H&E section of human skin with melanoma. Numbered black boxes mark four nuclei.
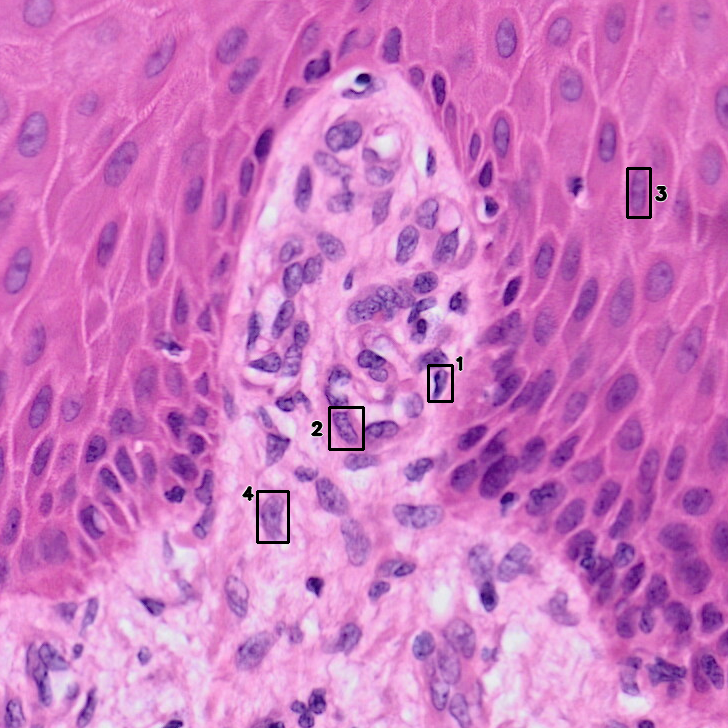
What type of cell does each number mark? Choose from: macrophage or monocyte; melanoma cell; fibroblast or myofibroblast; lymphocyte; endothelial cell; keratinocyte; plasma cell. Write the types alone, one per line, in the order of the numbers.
lymphocyte
endothelial cell
keratinocyte
fibroblast or myofibroblast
